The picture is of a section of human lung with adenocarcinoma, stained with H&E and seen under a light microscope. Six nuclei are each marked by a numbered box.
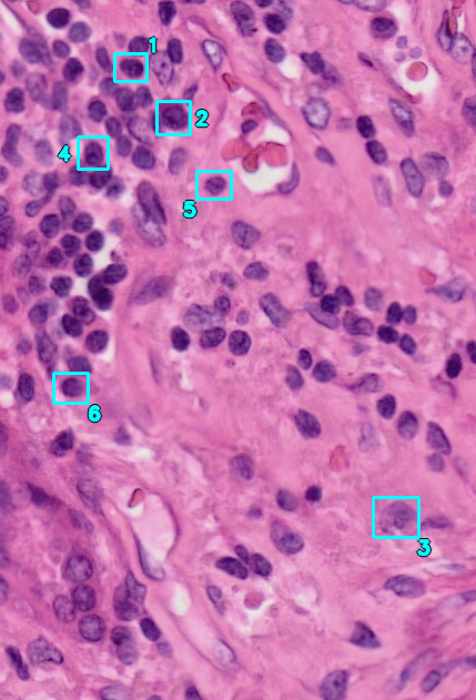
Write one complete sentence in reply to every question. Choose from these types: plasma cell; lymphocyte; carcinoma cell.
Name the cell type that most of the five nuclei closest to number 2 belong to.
Most of the five nuclei nearest to number 2 are those of lymphocytes.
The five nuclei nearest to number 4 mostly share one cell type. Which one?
Lymphocytes account for more than half of the five nuclei nearest to number 4.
